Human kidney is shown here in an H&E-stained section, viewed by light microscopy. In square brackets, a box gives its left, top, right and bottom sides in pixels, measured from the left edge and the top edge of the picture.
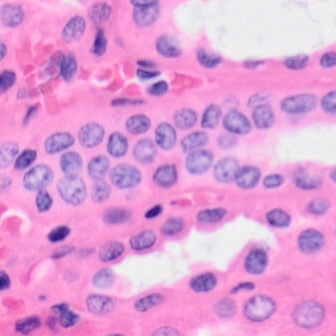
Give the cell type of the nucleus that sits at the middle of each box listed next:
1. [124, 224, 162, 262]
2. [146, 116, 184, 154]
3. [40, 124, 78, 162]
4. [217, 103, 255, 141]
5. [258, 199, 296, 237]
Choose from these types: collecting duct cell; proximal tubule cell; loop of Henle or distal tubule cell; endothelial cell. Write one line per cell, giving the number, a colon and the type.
1: loop of Henle or distal tubule cell
2: collecting duct cell
3: collecting duct cell
4: collecting duct cell
5: loop of Henle or distal tubule cell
